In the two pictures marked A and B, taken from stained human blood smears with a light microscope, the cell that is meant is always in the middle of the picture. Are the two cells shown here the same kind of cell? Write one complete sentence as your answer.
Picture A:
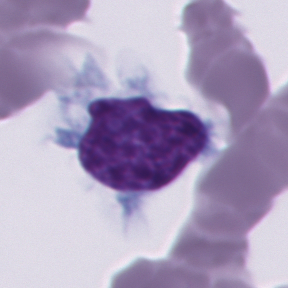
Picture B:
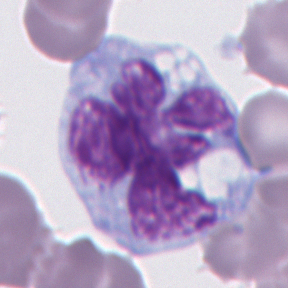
No, the types are not the same, since picture A shows a hairy cell and picture B a monocyte.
